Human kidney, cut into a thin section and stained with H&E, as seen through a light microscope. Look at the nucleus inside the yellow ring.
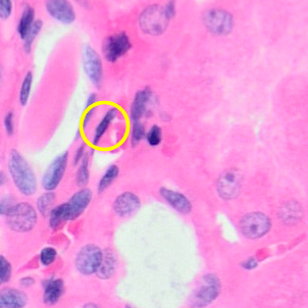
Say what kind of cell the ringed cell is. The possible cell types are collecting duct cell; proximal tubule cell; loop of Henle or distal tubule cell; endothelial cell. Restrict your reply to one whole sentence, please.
Within this tissue, the ringed cell is an endothelial cell.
